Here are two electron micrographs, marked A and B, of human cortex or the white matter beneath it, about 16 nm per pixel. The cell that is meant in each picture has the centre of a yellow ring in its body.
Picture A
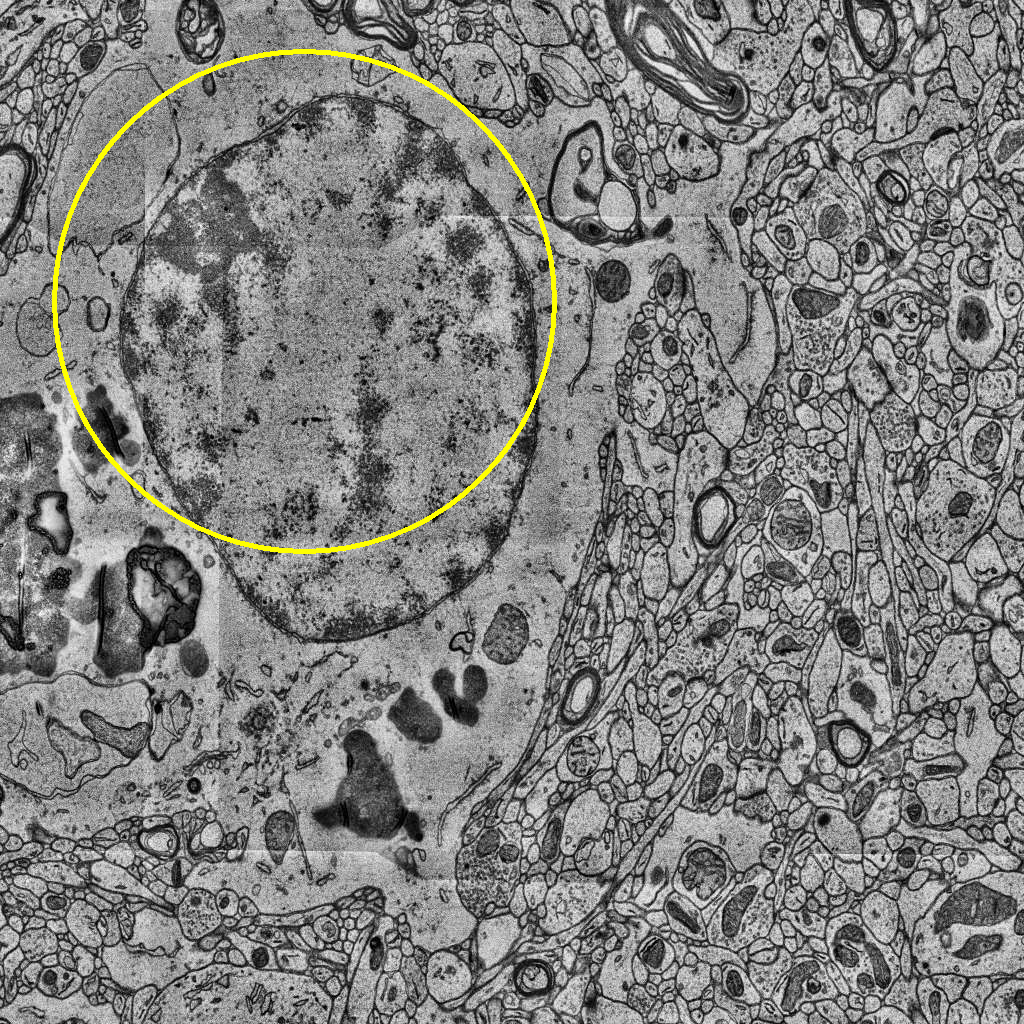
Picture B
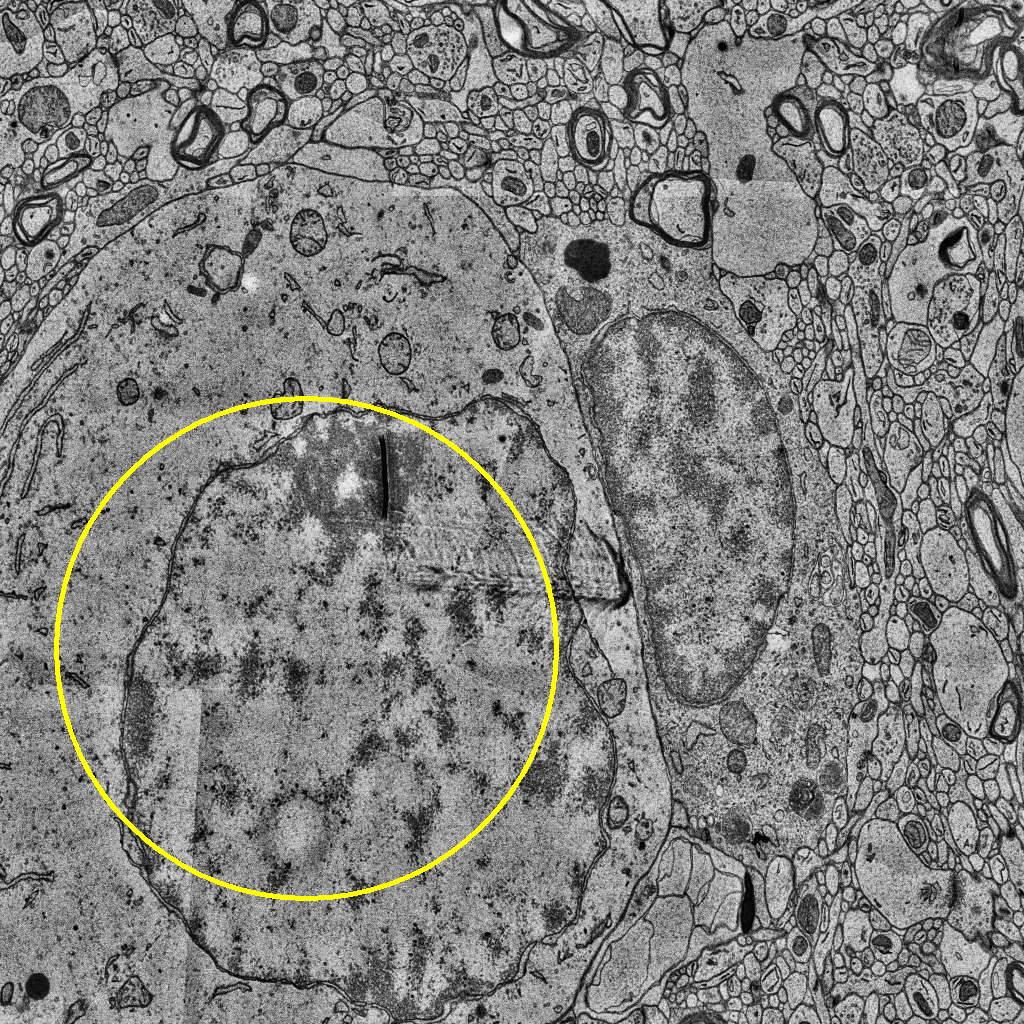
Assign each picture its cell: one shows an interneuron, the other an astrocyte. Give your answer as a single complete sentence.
The cell in picture A is an astrocyte, and the one in picture B is an interneuron.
